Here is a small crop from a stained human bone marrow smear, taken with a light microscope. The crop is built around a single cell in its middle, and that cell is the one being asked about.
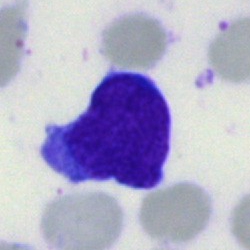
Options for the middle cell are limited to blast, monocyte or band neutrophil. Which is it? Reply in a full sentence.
At the middle of the frame sits a blast.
